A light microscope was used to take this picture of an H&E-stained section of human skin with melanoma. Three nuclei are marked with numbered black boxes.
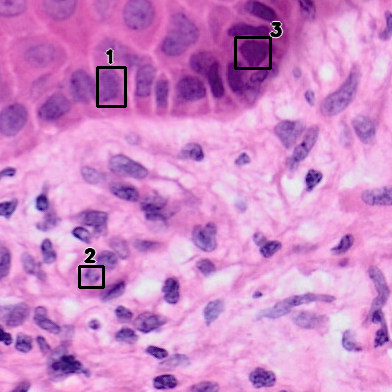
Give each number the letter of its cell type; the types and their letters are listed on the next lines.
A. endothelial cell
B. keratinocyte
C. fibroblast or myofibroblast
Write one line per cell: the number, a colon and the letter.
1: B
2: A
3: B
